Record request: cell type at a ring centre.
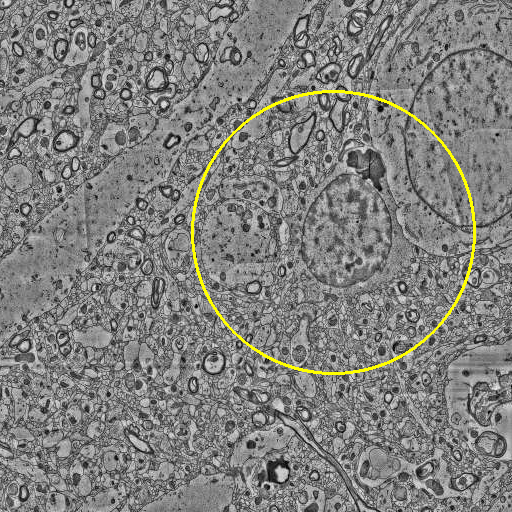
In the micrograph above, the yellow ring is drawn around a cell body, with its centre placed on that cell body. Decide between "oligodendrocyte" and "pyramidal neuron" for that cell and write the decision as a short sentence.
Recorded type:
The cell centred in the yellow ring is an oligodendrocyte.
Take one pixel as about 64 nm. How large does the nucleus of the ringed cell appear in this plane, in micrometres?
About 7 by 6 micrometers for the nucleus, in this plane.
